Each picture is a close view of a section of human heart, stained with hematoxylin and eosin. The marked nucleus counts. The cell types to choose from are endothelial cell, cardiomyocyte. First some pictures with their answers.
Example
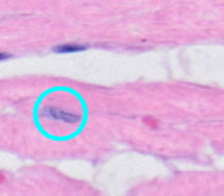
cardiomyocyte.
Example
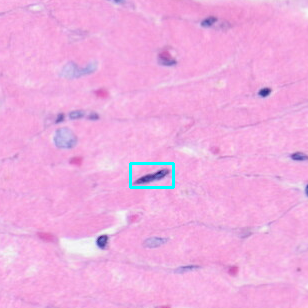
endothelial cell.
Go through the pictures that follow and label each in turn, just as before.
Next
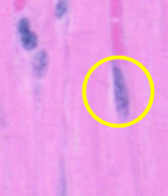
endothelial cell.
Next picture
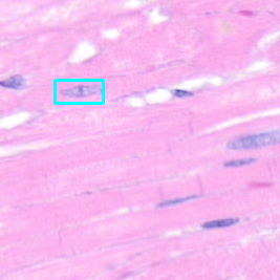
cardiomyocyte.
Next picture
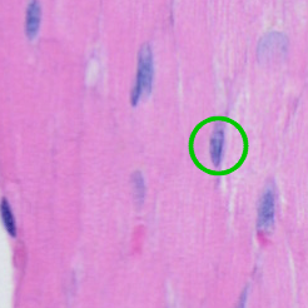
endothelial cell.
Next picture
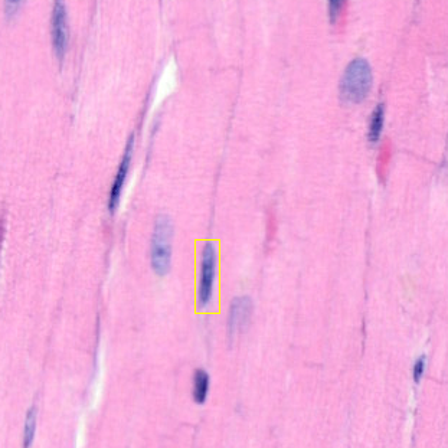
endothelial cell.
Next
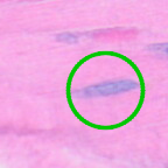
cardiomyocyte.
